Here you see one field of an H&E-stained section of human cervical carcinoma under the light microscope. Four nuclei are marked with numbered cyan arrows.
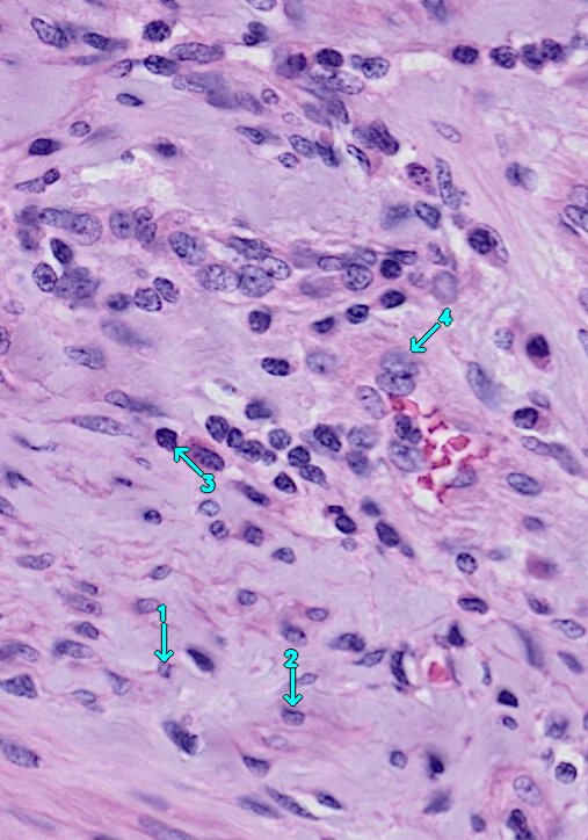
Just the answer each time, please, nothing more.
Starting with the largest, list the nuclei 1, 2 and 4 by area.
4, 2, 1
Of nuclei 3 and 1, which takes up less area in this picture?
1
